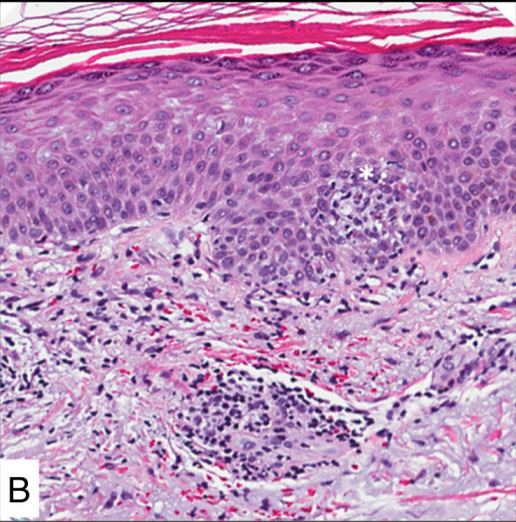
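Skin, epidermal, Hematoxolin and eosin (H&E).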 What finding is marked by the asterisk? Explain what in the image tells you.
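At the asterisk, a cluster of small dark round nuclei lies within the lower epidermis. The surrounding keratinocytes are larger, with pale nuclei.
Answer: exocytosis of lymphocytes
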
